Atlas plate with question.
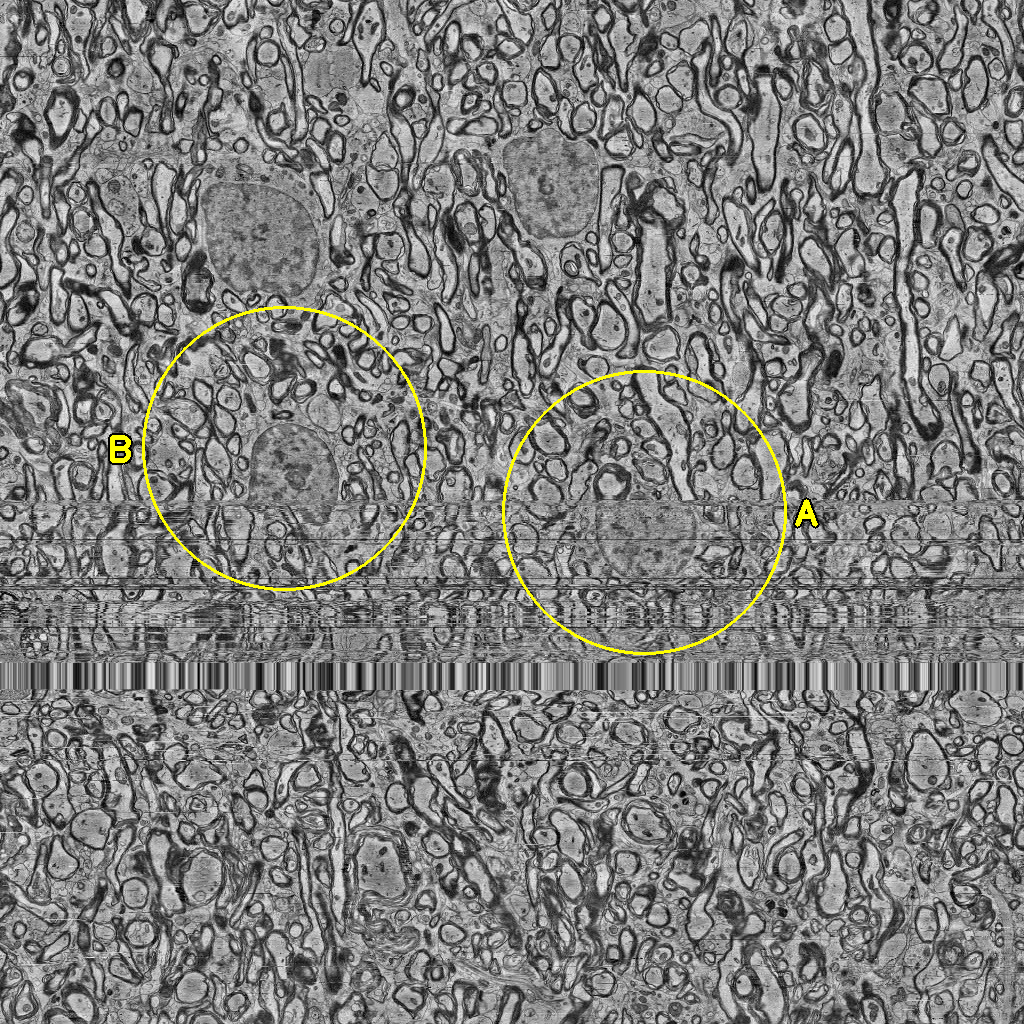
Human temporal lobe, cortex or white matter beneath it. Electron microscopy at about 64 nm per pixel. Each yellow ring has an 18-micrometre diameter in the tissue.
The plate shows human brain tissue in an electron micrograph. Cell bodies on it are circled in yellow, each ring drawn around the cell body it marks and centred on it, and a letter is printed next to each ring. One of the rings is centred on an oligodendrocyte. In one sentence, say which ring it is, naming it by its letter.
It is ring A.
